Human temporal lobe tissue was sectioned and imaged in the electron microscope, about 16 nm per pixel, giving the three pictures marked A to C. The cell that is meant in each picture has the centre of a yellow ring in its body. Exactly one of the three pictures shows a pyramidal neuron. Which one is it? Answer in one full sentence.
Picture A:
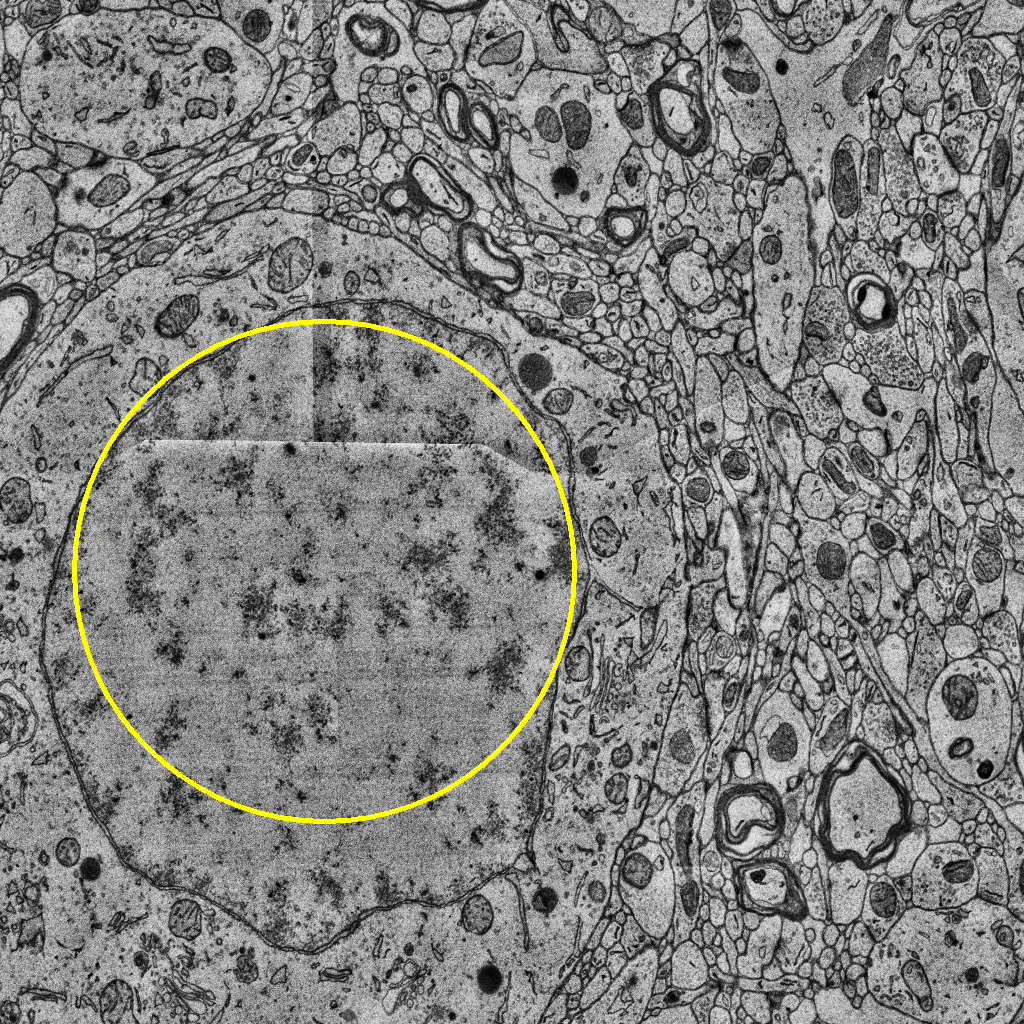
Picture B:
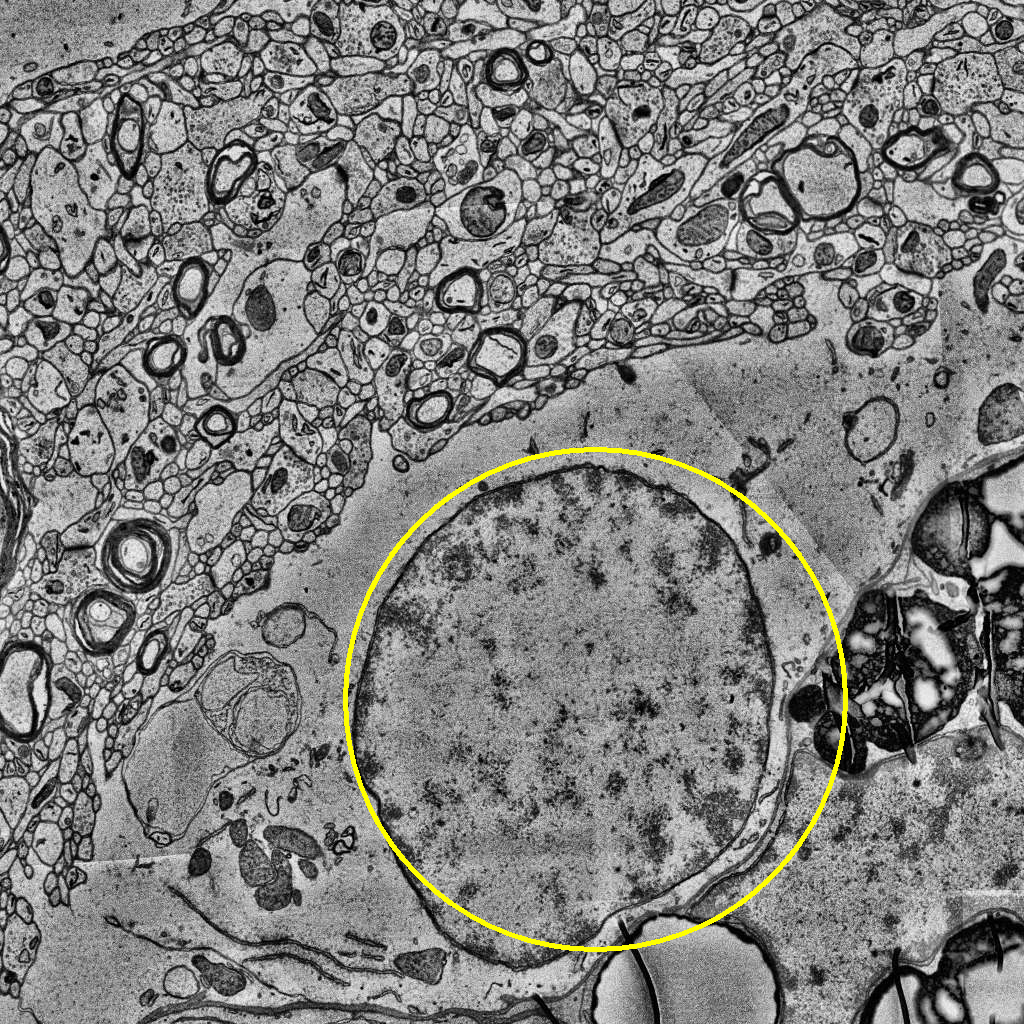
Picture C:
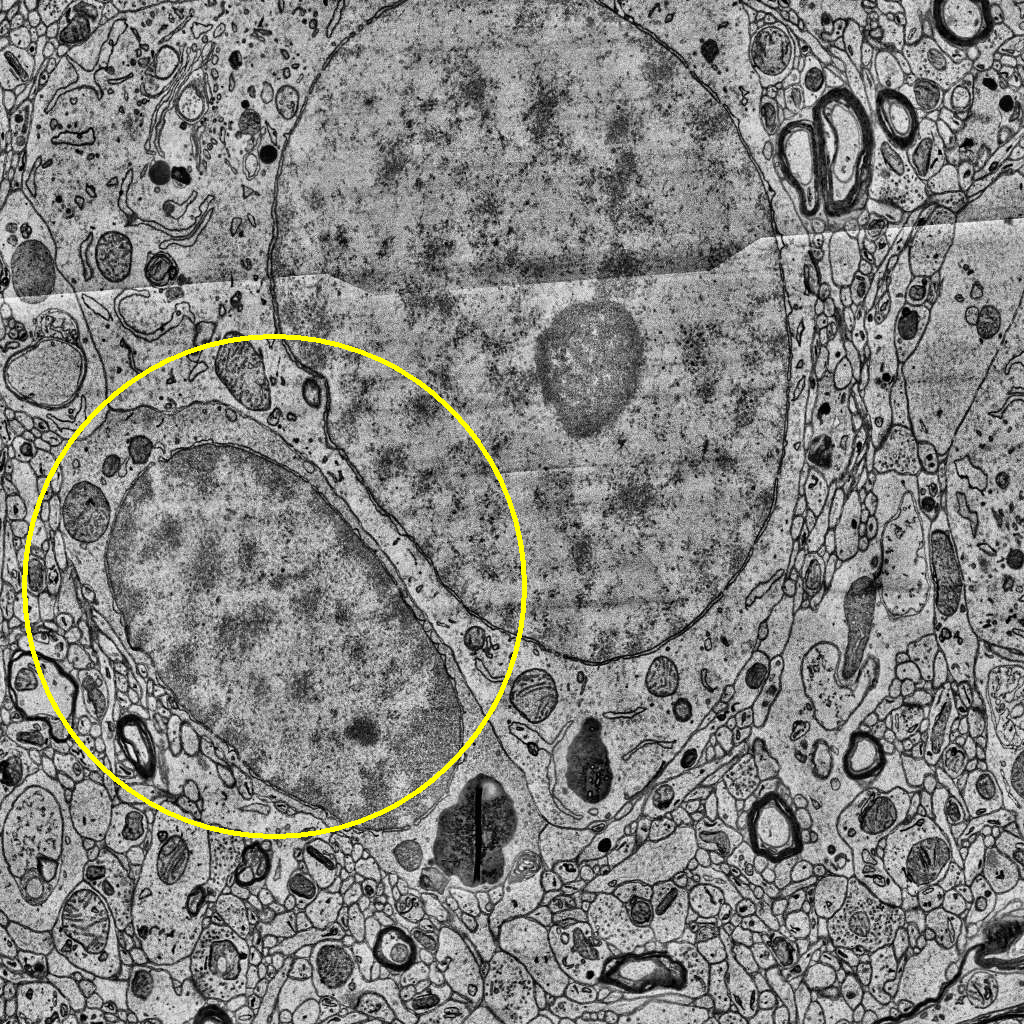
Picture A is the one that shows the pyramidal neuron.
